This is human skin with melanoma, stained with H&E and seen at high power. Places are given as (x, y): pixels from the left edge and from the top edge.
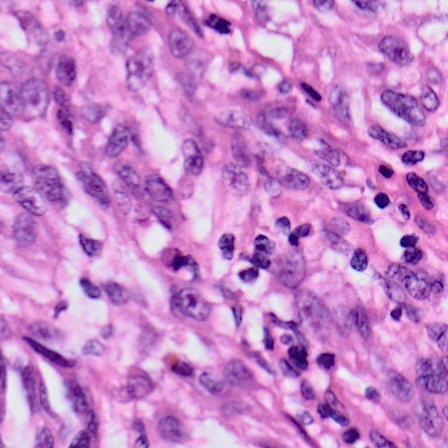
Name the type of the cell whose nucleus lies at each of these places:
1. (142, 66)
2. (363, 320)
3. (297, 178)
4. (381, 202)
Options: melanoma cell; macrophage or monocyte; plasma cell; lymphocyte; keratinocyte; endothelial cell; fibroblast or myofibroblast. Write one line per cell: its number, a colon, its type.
1: melanoma cell
2: melanoma cell
3: melanoma cell
4: lymphocyte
